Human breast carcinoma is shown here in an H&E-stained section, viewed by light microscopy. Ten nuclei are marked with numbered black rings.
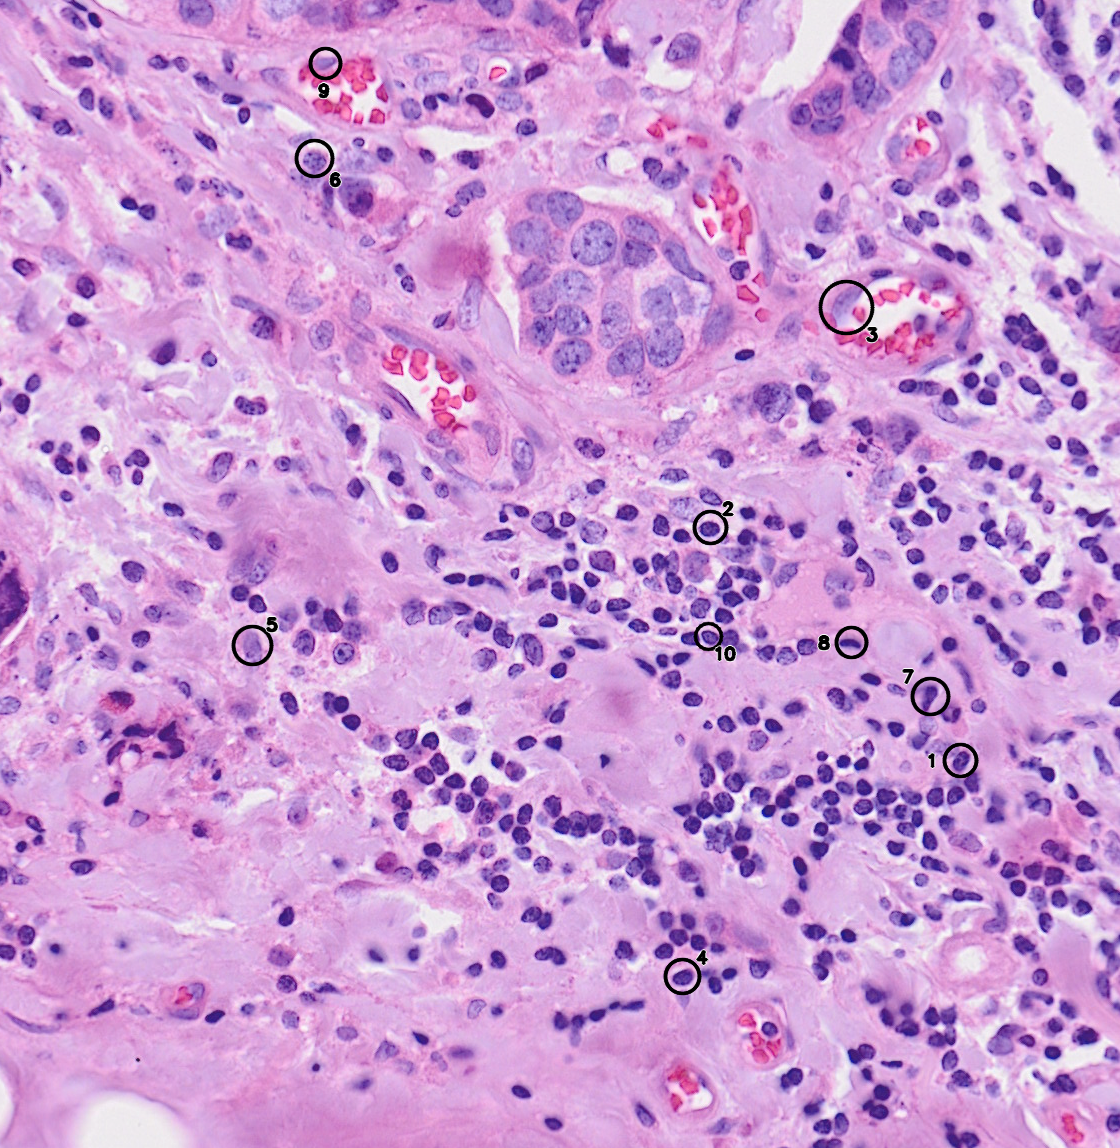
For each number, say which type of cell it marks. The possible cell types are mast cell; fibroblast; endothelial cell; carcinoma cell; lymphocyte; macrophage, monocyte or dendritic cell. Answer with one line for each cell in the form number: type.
1: lymphocyte
2: lymphocyte
3: endothelial cell
4: lymphocyte
5: macrophage, monocyte or dendritic cell
6: mast cell
7: lymphocyte
8: lymphocyte
9: endothelial cell
10: lymphocyte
